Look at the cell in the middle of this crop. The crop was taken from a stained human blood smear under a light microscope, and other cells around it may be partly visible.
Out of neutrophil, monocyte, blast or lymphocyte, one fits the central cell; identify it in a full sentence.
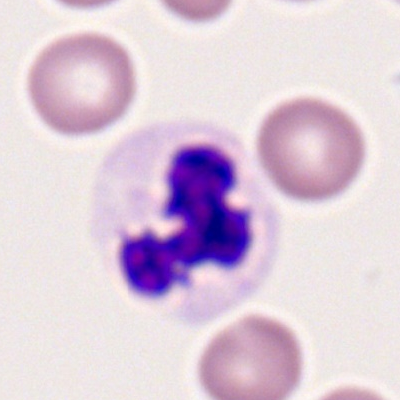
The crop shows a neutrophil in its centre.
